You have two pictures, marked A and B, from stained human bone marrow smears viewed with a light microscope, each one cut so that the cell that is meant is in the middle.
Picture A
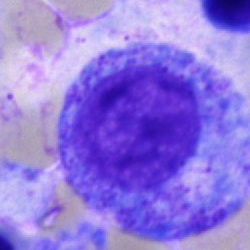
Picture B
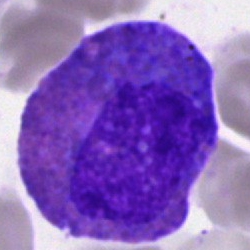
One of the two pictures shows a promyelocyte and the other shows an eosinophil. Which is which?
A: promyelocyte
B: eosinophil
